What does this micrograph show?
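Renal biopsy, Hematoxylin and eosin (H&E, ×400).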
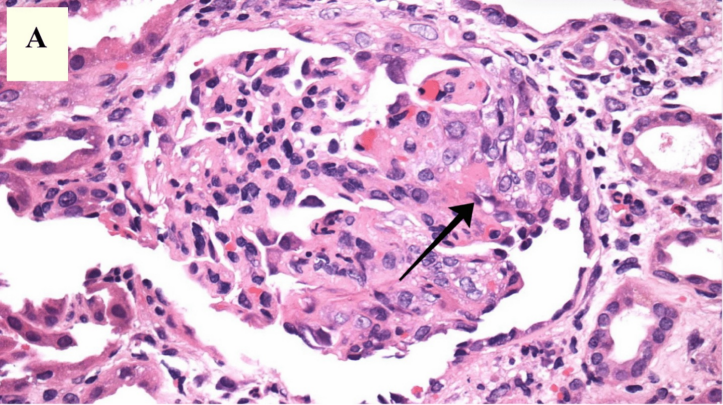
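Glomerulus with marked endocapillary hypercellularity and infiltration by mononuclear inflammatory cells. The tuft is crowded with small dark round nuclei and larger pale nuclei, leaving few open capillary lumina. Within part of the tuft lies bright pink, smudgy, structureless material. Surrounding tubules are lined by pink cuboidal epithelium, and the interstitium between them holds scattered small dark inflammatory cells.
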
